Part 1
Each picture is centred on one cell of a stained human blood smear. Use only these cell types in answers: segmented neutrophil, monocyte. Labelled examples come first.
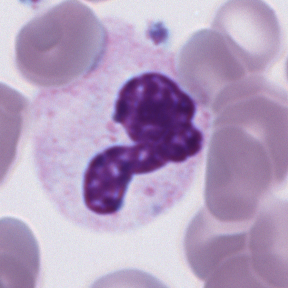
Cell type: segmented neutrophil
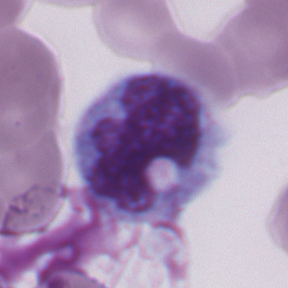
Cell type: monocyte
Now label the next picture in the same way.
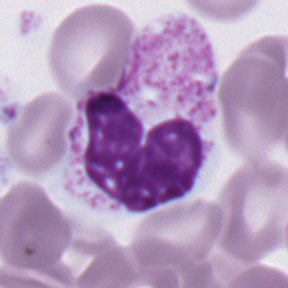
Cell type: segmented neutrophil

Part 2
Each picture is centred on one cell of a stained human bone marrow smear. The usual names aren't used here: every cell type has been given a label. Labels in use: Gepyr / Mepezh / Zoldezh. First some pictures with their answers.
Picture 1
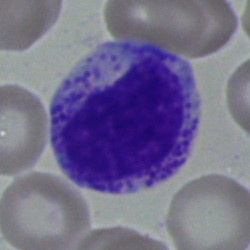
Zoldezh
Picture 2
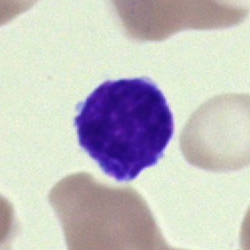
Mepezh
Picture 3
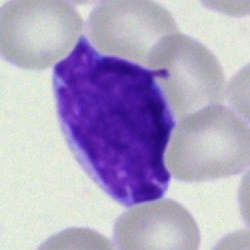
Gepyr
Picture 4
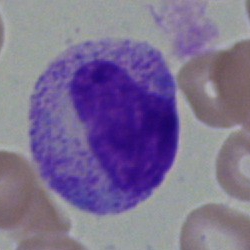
Zoldezh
